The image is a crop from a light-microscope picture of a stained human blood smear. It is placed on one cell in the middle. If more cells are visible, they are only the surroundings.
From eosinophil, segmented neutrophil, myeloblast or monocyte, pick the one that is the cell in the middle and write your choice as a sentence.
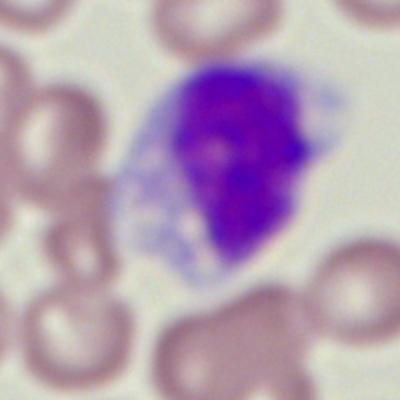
The central cell, amid any neighbouring cells, is a monocyte.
